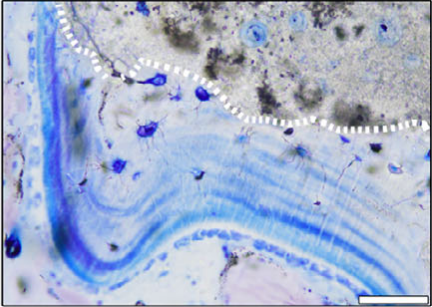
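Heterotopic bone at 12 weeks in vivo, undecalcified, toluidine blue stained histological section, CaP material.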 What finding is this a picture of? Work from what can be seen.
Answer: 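The matrix shows many parallel curved bands running alongside the blue surface. Small dark cells with fine processes lie between the bands.
Answer: lamellar‐like appearance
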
